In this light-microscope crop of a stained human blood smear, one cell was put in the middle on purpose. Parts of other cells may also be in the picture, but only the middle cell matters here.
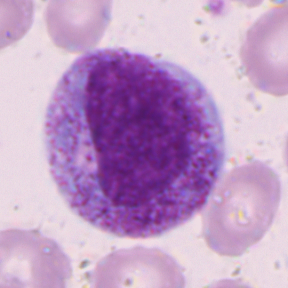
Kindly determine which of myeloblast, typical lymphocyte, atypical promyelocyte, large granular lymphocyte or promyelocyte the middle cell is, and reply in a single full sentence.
The central element of this crop is a cell, namely a promyelocyte.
